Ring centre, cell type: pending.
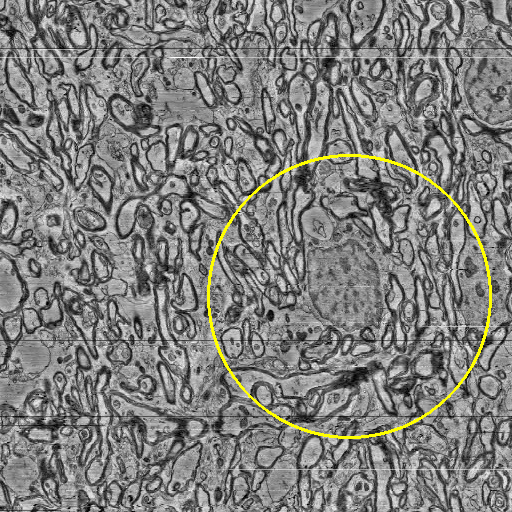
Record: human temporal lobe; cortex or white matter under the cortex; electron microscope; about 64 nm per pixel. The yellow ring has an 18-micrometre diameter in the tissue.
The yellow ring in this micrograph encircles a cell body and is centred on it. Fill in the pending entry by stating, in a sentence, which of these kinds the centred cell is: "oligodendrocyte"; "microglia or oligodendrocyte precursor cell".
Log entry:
The centred cell is recorded as an oligodendrocyte.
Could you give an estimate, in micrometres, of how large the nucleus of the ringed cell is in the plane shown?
Approximately 6 micrometres long and 5 micrometres wide, in this plane.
